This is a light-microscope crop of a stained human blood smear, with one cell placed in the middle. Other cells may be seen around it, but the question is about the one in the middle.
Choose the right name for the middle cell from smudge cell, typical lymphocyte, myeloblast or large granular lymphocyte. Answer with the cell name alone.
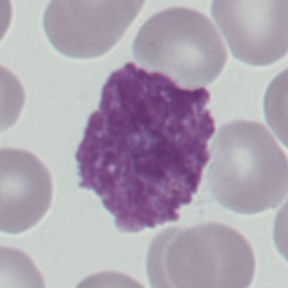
smudge cell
